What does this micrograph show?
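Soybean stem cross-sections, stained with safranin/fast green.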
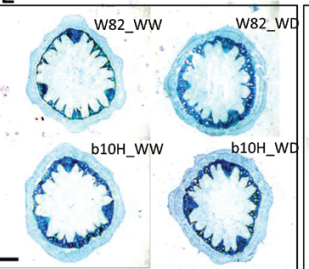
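The pale central region fills most of each section and has a scalloped, star-like border. A pale blue outer band encloses this ring and forms the surface of the section.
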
